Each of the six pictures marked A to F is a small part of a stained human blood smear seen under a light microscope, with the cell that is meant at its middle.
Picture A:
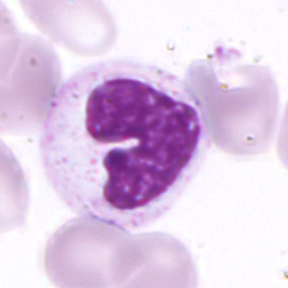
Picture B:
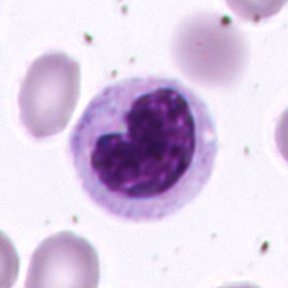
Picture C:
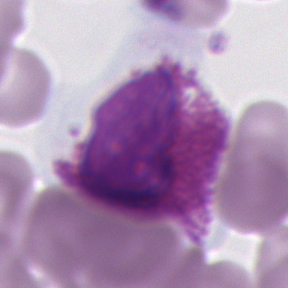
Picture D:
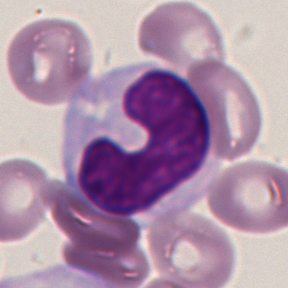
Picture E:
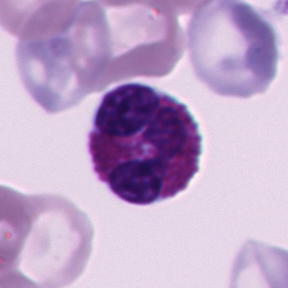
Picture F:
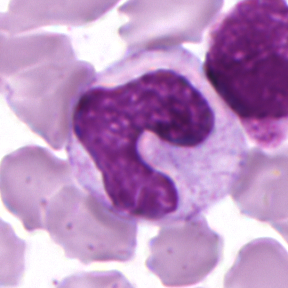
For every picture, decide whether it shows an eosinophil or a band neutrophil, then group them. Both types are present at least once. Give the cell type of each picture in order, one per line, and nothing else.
band neutrophil
band neutrophil
eosinophil
band neutrophil
eosinophil
band neutrophil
